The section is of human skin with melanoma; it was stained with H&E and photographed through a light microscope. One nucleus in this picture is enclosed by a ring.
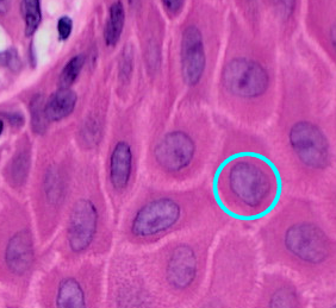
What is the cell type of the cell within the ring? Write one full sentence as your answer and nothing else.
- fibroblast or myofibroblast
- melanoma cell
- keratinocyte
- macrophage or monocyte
Within this tissue, the cell within the ring is a keratinocyte.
